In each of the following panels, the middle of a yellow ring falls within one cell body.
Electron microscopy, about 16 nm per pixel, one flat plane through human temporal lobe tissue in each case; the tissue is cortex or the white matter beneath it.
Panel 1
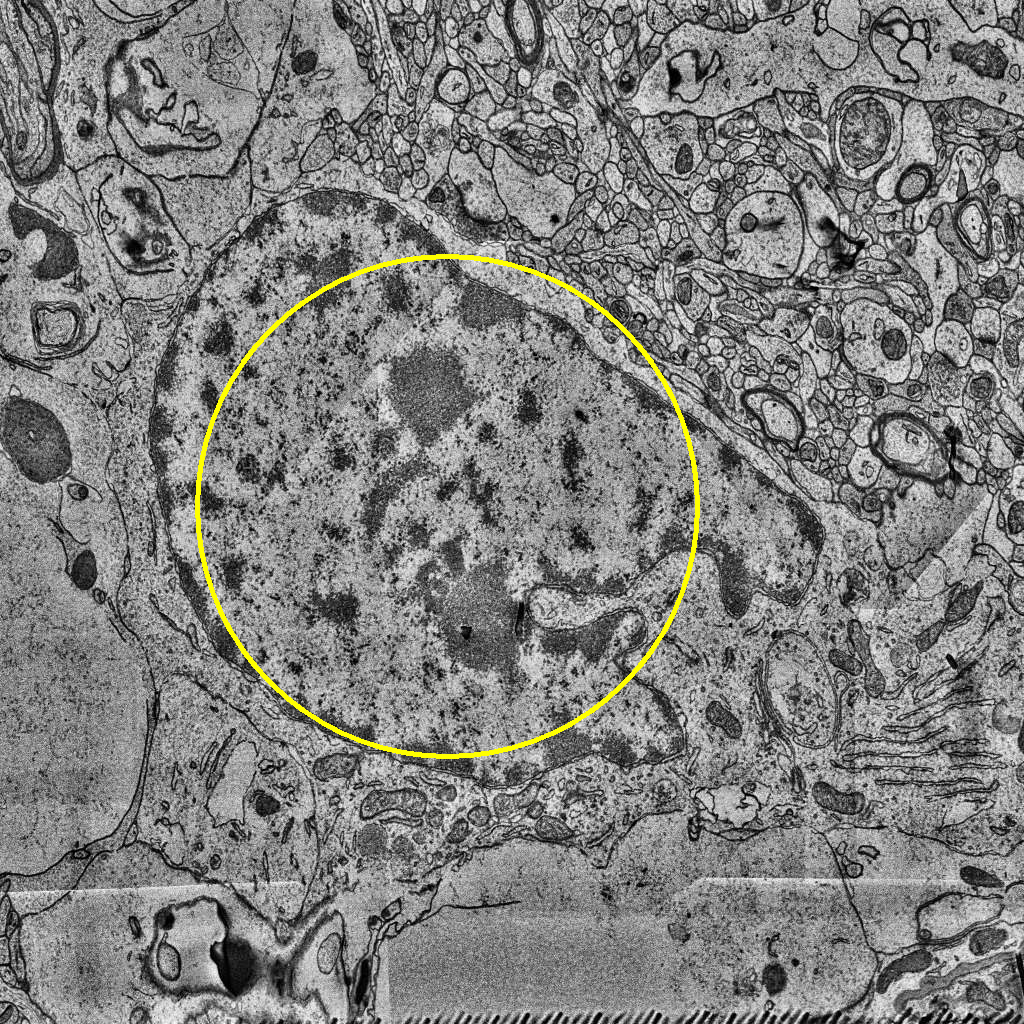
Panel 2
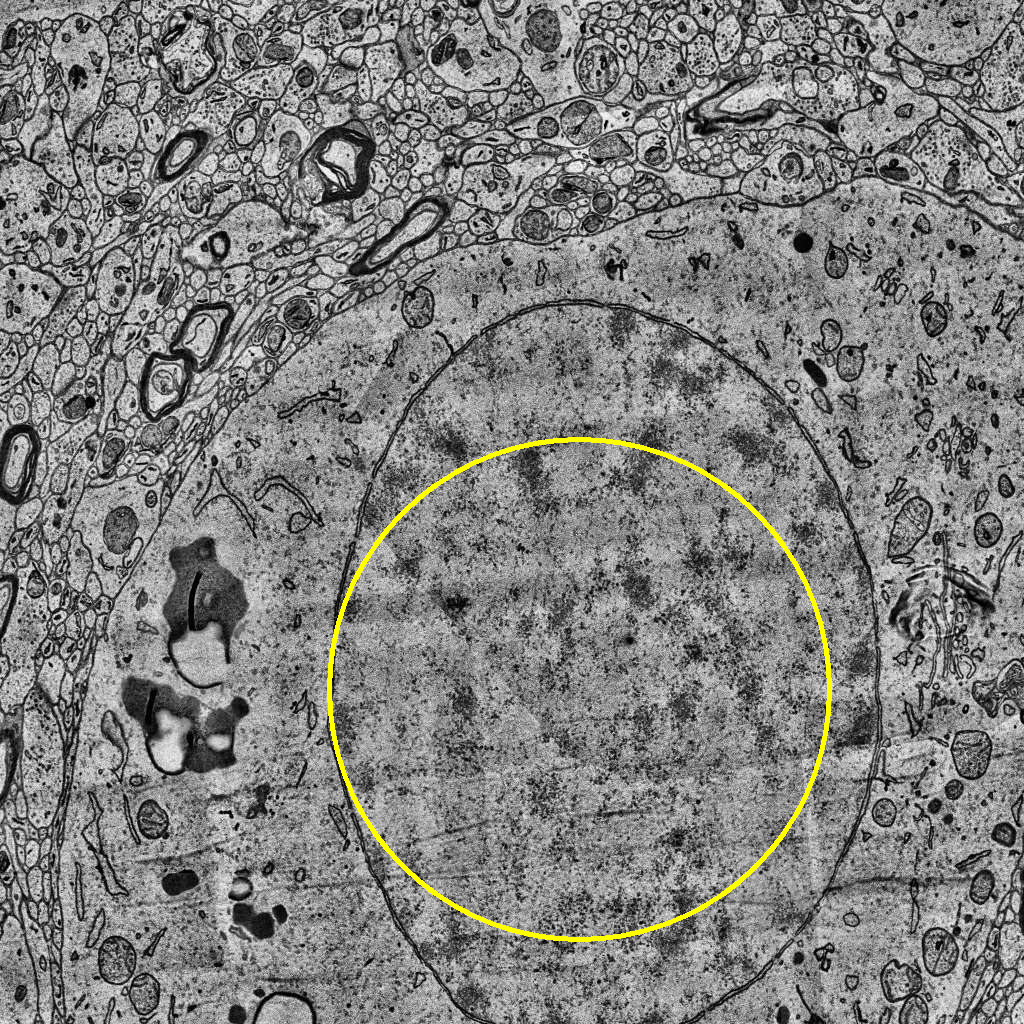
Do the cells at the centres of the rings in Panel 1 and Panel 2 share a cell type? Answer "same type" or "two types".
two types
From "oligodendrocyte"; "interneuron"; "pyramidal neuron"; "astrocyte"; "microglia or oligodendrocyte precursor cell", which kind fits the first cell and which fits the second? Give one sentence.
The first picture has a microglial cell or oligodendrocyte precursor cell in its ring, the second has a pyramidal neuron.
